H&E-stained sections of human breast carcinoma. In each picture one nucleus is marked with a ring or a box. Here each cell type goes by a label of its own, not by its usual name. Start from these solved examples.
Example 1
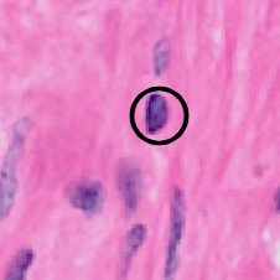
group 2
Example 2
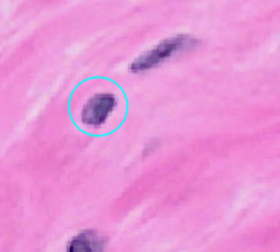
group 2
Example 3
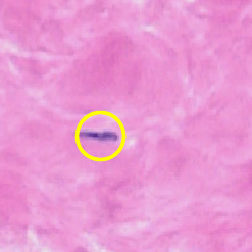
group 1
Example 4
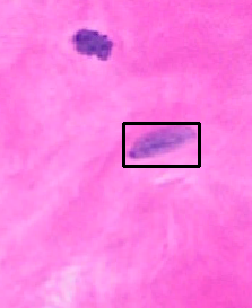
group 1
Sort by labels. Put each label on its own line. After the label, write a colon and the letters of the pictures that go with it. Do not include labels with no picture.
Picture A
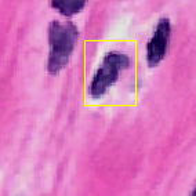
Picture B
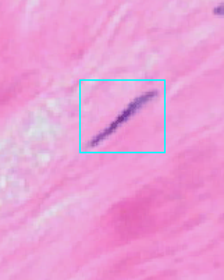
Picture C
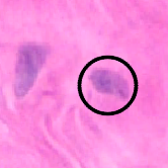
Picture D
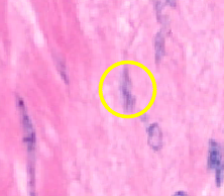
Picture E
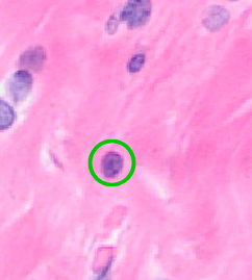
group 2: A, E
group 1: B, C, D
